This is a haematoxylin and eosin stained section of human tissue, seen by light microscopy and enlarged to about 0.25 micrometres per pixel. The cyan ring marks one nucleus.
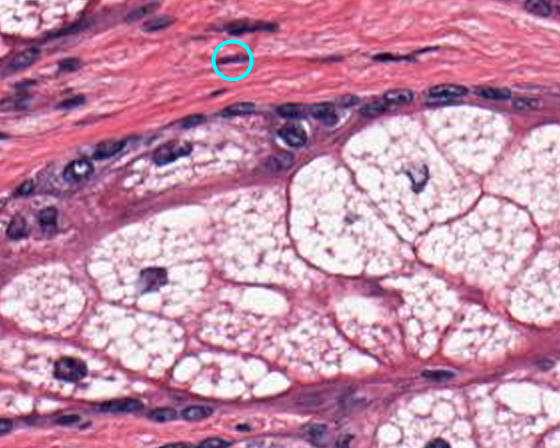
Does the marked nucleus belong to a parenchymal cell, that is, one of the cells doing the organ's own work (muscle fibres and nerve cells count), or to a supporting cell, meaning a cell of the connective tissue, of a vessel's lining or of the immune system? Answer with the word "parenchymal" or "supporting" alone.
supporting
